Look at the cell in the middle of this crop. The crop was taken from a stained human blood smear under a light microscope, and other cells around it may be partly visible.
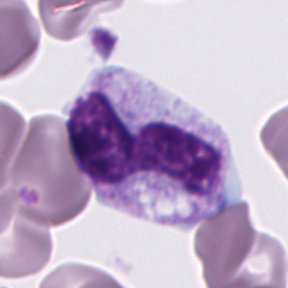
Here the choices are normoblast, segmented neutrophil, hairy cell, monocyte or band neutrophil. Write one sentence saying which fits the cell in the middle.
The cell at the centre of the field is a band neutrophil.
